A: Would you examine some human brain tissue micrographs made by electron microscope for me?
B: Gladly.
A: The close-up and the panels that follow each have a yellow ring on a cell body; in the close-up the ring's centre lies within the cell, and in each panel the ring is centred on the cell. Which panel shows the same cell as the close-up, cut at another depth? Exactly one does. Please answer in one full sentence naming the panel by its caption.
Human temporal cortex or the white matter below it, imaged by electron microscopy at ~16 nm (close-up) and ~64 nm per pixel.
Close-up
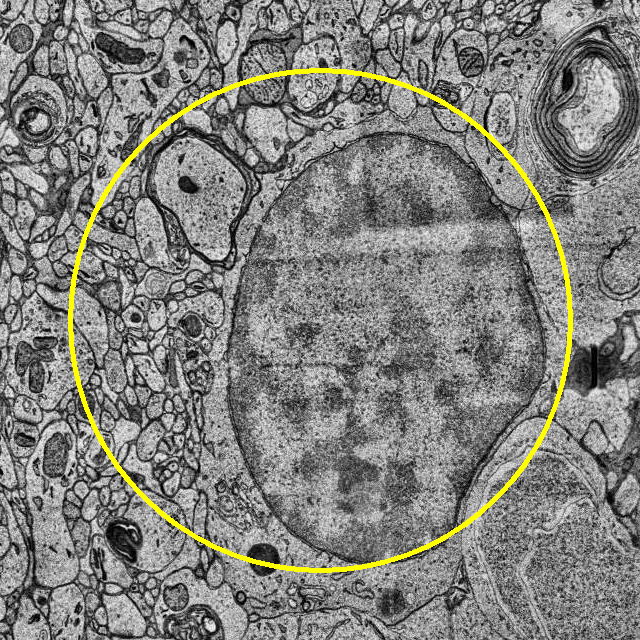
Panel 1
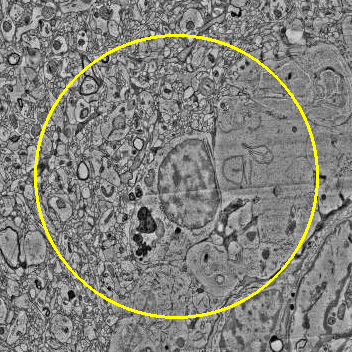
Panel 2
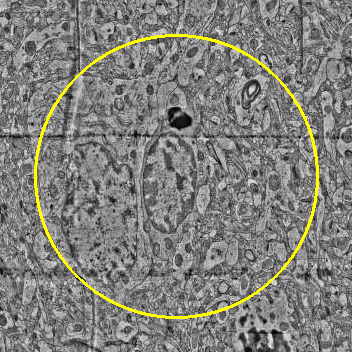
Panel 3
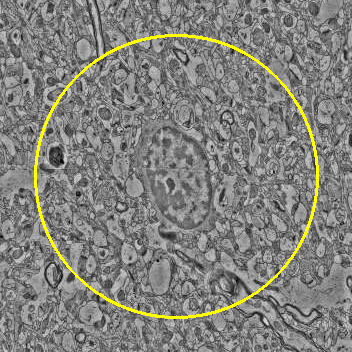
The close-up pictures the cell encircled in Panel 1.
